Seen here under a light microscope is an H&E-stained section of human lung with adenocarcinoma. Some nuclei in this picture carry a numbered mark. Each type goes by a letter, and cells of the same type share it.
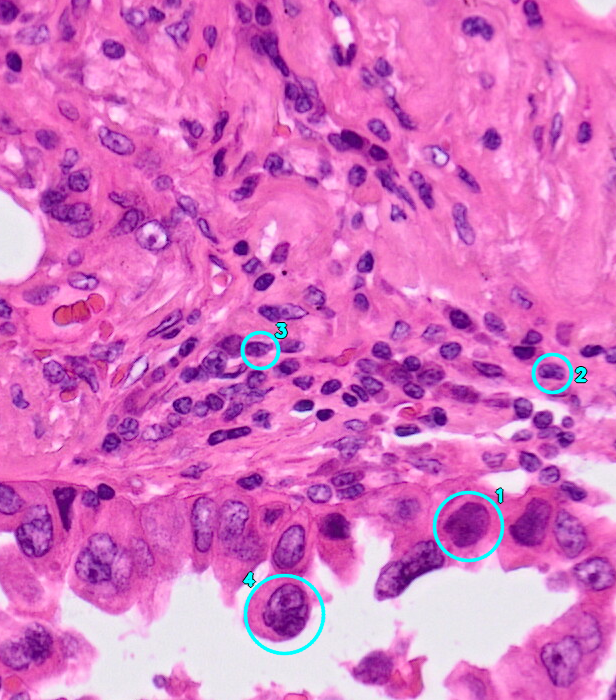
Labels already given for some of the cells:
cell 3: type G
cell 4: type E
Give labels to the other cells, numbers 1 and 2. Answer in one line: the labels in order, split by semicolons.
type E; type G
